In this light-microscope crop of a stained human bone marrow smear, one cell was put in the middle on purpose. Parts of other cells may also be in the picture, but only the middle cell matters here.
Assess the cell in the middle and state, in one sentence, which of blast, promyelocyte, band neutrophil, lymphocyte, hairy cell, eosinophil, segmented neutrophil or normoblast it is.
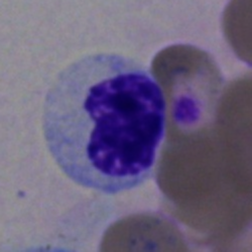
The crop shows a band neutrophil in its centre.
